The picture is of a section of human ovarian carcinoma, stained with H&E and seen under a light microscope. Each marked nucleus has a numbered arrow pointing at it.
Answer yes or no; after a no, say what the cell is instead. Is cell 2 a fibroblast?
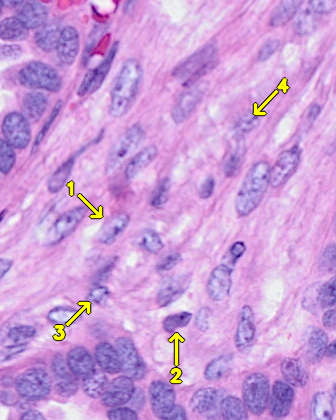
No, it is a macrophage or monocyte.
